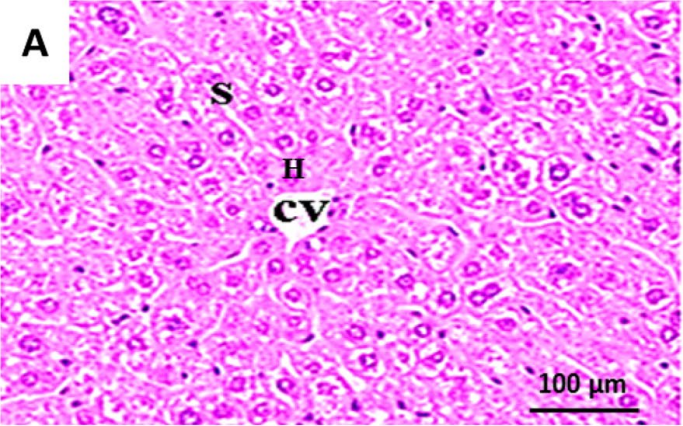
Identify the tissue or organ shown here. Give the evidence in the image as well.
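Liver. Polygonal cells with round central nuclei form cords. The cords radiate around a central empty vessel lumen. Narrow clefts between the cords hold small dark flattened nuclei.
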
